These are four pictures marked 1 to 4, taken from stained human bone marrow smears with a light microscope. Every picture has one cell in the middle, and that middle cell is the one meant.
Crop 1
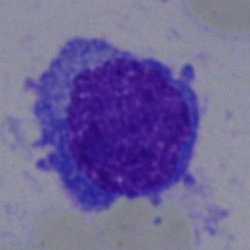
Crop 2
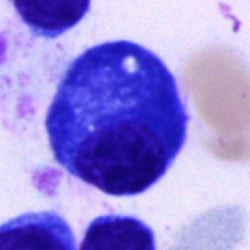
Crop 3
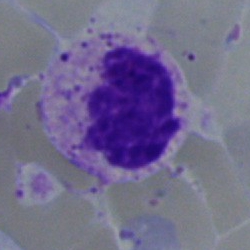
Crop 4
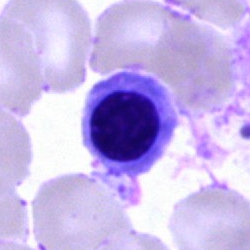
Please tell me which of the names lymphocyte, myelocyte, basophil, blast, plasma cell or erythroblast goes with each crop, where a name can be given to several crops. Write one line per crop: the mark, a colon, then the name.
1: plasma cell
2: plasma cell
3: basophil
4: erythroblast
